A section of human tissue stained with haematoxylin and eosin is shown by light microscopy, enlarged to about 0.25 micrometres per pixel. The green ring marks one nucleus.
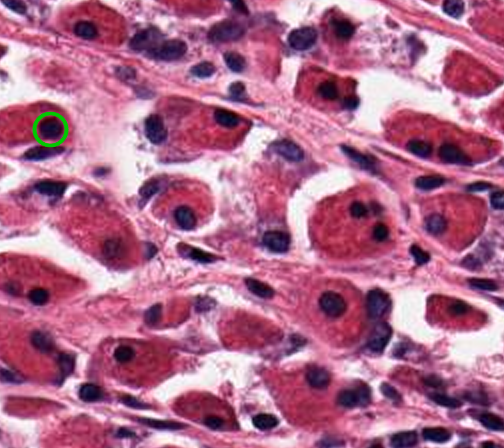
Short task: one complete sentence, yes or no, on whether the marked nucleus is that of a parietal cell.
Yes, belonging to a parietal cell is the marked nucleus.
